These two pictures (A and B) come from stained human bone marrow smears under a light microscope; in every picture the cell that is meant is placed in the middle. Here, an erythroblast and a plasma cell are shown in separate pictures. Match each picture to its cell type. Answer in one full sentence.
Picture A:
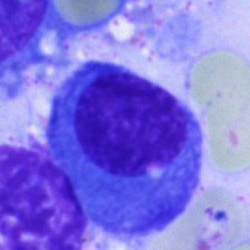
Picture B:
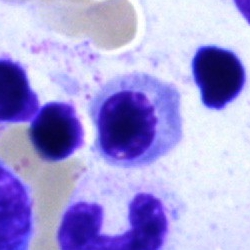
It is picture A that shows a plasma cell, and picture B that shows an erythroblast.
